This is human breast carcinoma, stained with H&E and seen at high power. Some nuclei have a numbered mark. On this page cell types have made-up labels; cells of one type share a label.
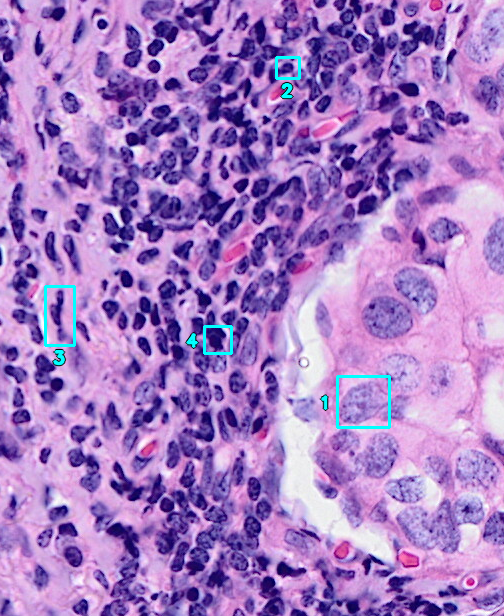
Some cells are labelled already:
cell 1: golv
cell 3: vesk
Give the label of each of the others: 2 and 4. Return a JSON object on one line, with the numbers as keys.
{"2": "vesk", "4": "vesk"}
